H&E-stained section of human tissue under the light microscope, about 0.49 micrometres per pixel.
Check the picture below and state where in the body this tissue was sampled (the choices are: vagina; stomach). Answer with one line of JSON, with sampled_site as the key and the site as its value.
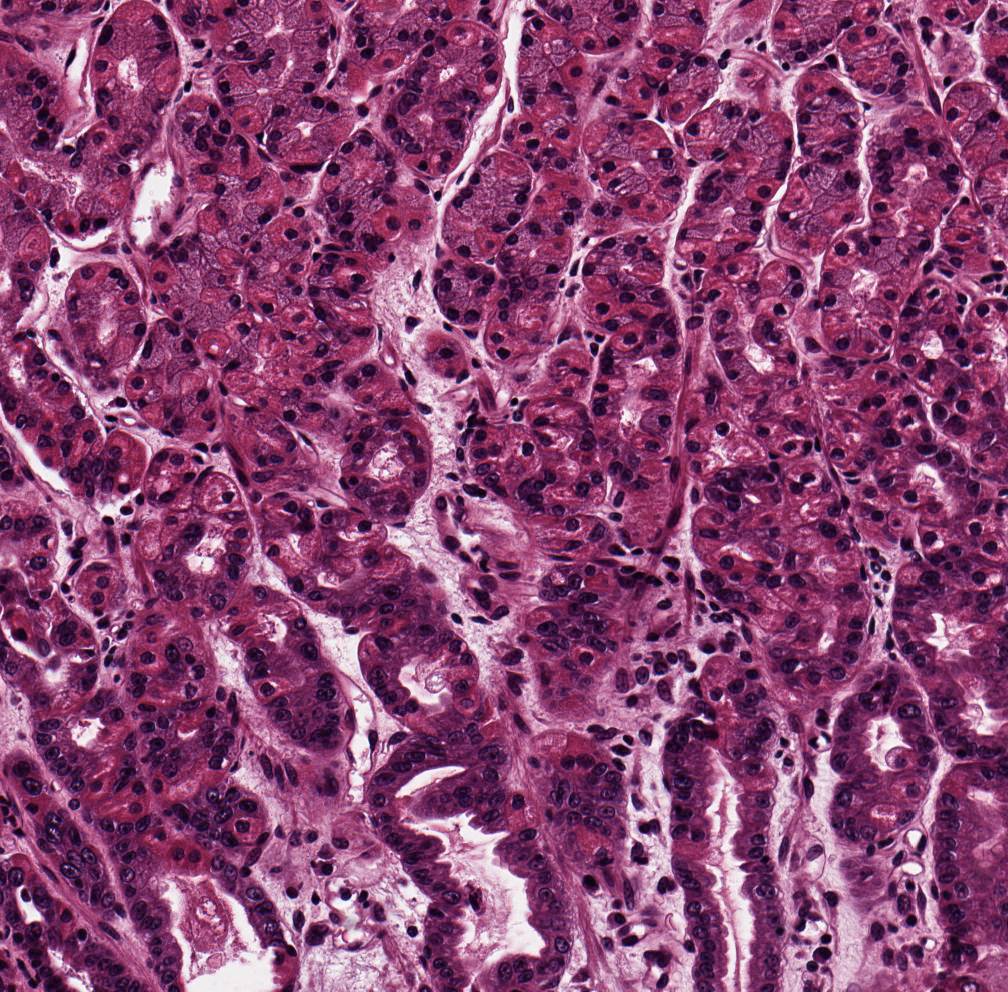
{"sampled_site": "stomach"}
